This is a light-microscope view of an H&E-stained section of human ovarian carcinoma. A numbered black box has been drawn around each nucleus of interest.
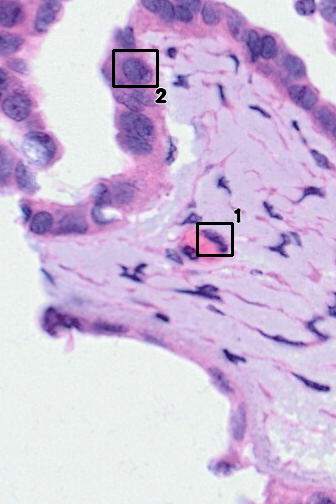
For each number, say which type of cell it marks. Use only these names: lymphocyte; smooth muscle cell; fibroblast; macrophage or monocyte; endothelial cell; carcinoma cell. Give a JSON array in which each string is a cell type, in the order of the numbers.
["endothelial cell", "carcinoma cell"]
